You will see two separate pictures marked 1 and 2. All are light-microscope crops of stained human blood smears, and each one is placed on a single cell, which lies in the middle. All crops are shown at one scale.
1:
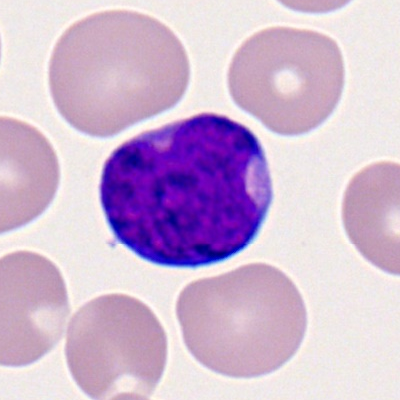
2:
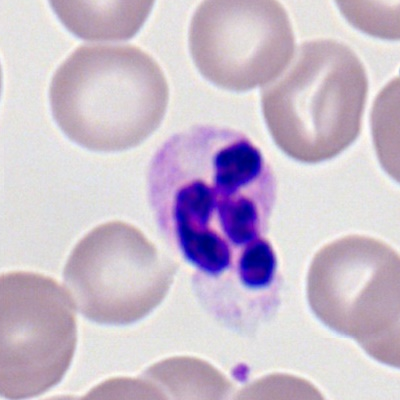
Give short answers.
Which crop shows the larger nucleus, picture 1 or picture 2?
1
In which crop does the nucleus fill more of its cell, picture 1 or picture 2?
1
